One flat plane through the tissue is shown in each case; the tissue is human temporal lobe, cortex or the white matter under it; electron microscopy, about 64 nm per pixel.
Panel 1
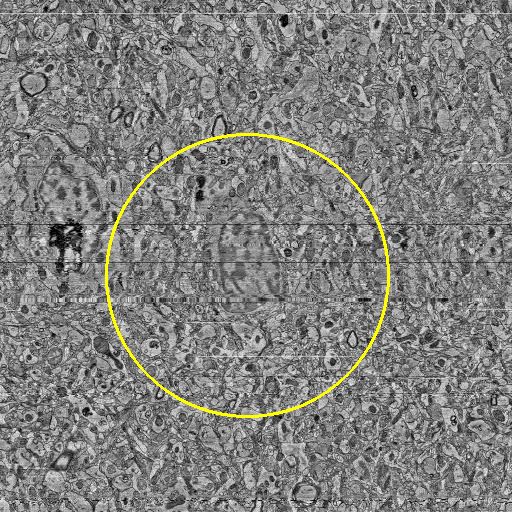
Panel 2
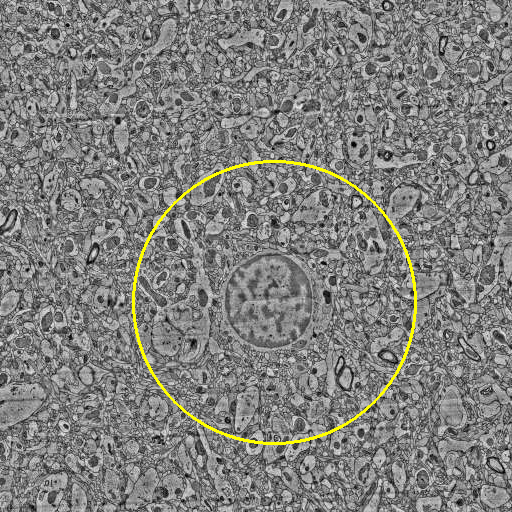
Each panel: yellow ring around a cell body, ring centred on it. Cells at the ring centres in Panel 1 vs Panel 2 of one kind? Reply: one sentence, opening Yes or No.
Yes, Panel 1 and Panel 2 have cells of one kind at the ring centres.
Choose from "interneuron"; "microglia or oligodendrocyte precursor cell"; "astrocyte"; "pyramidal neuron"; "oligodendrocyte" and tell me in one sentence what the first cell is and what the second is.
Both cells are the same kind, each one being an oligodendrocyte.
